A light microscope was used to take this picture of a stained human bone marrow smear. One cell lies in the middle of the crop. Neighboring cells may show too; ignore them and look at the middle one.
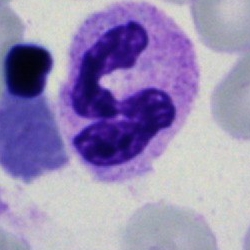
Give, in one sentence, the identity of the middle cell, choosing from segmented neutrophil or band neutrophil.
Present in the middle of the crop is a segmented neutrophil.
